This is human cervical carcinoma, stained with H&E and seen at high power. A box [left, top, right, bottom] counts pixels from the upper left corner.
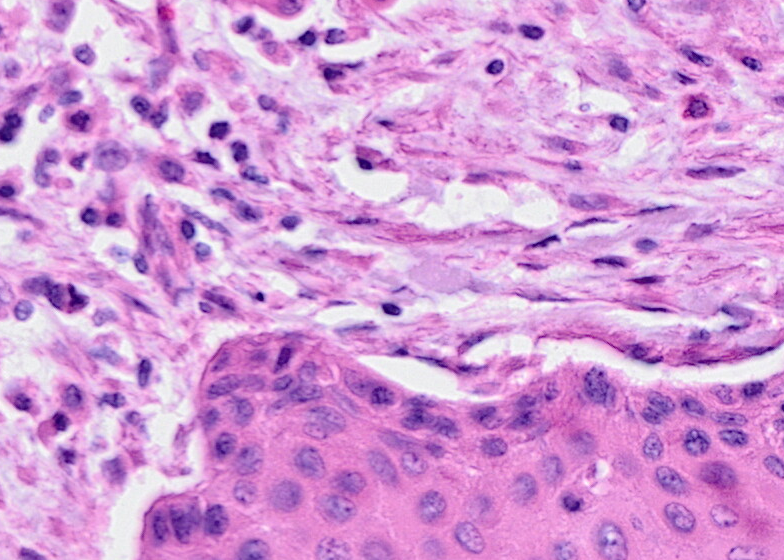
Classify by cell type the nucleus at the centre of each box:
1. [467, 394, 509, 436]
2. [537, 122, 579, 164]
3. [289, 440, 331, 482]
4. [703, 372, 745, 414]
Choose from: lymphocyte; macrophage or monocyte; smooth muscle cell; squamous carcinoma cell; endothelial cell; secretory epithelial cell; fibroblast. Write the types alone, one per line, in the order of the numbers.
squamous carcinoma cell
fibroblast
squamous carcinoma cell
squamous carcinoma cell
